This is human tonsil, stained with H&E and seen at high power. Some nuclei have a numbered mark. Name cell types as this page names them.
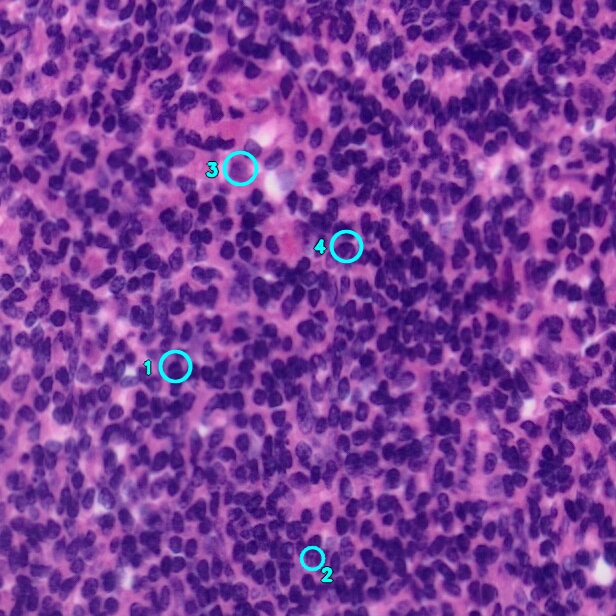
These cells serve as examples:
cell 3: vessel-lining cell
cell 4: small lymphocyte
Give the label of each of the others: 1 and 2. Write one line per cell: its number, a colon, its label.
1: small lymphocyte
2: small lymphocyte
